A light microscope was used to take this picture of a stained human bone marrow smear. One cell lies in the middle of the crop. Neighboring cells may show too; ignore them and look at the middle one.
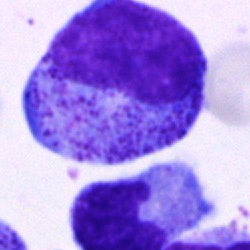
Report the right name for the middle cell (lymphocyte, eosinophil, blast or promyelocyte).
promyelocyte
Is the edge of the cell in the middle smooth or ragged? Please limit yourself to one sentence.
Its periphery is smooth, and no projections arise from it.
